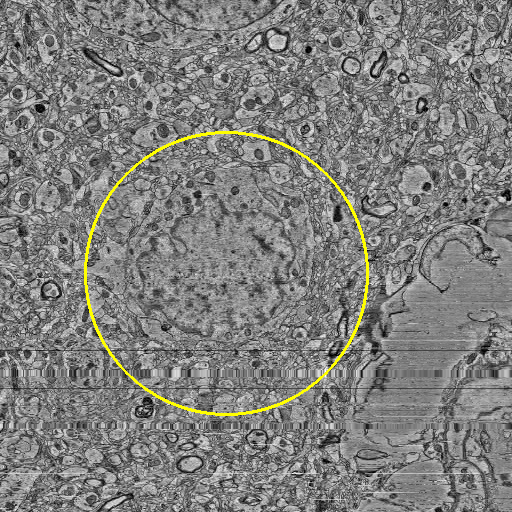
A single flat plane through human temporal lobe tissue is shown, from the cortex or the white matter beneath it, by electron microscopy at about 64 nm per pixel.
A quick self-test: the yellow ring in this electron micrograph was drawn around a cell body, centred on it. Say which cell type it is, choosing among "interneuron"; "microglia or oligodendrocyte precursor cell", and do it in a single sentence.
The yellow-ringed cell is an interneuron.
